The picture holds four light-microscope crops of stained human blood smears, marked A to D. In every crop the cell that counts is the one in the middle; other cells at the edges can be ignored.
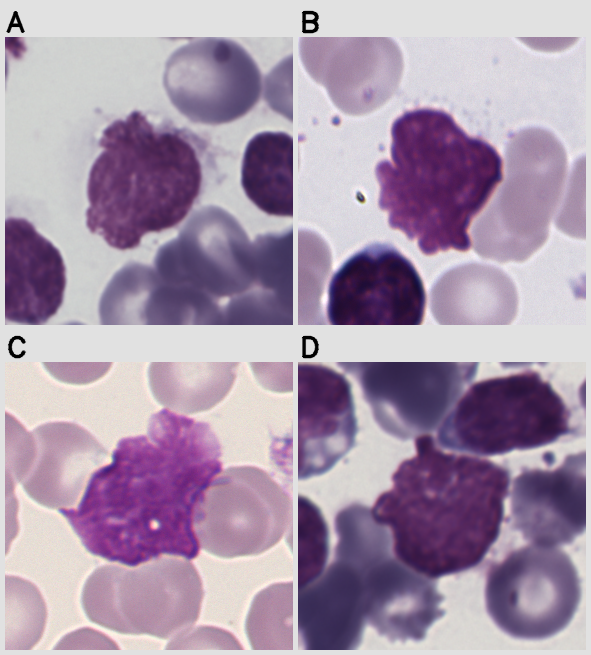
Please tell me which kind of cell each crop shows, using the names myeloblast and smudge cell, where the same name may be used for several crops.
A: smudge cell
B: smudge cell
C: smudge cell
D: myeloblast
